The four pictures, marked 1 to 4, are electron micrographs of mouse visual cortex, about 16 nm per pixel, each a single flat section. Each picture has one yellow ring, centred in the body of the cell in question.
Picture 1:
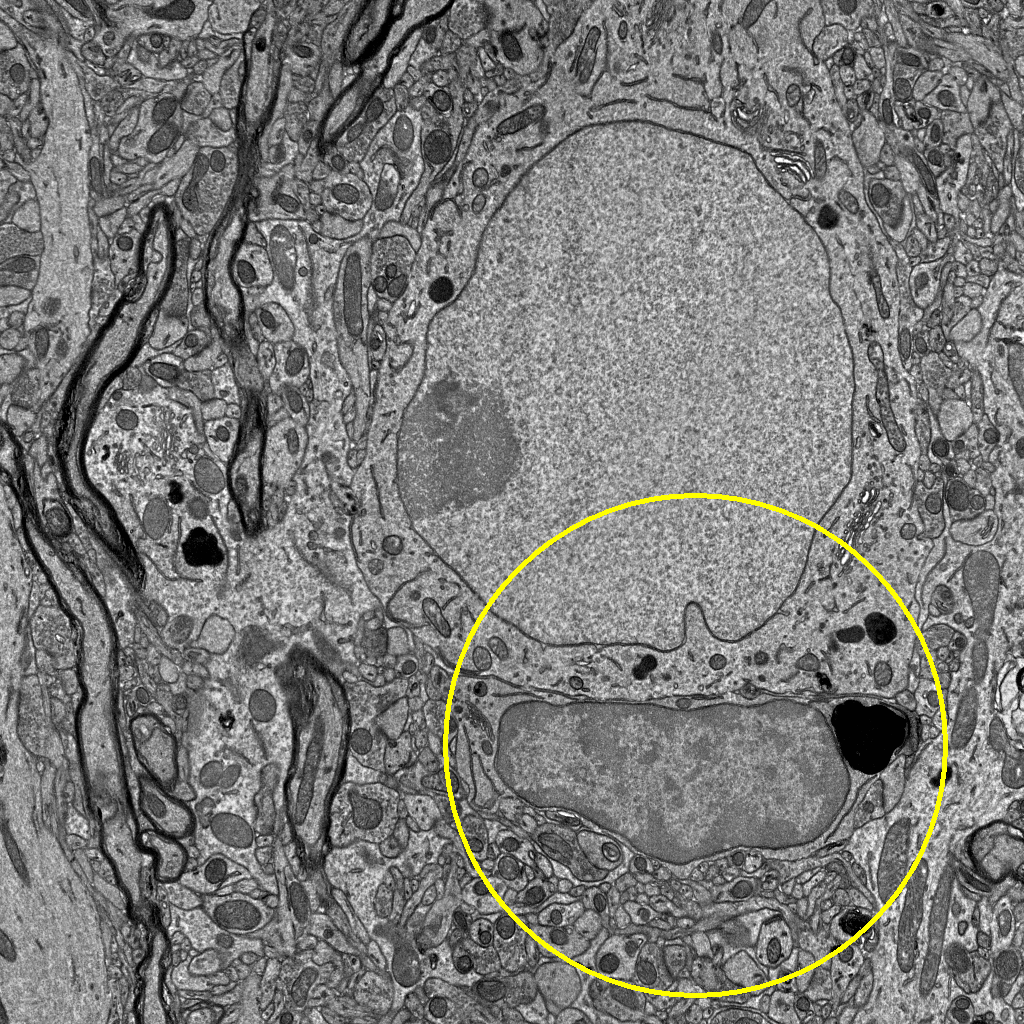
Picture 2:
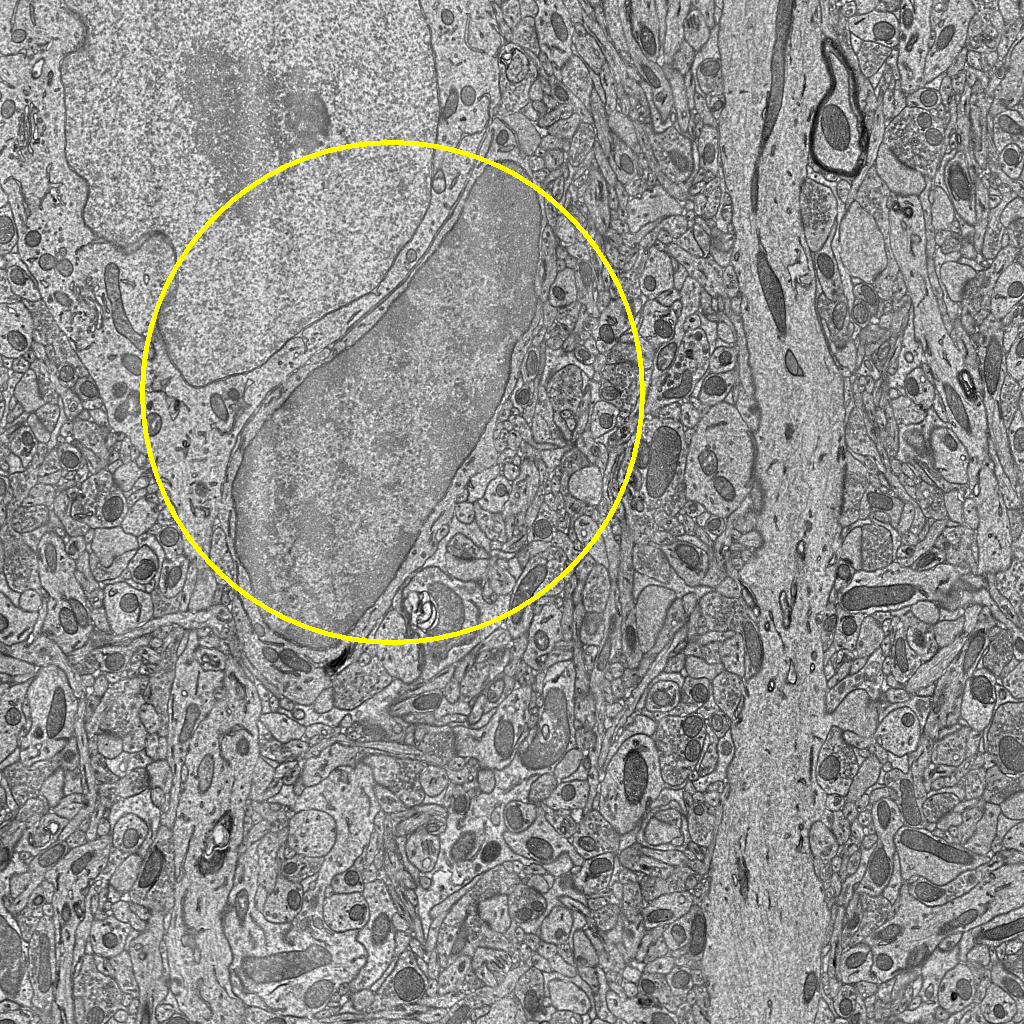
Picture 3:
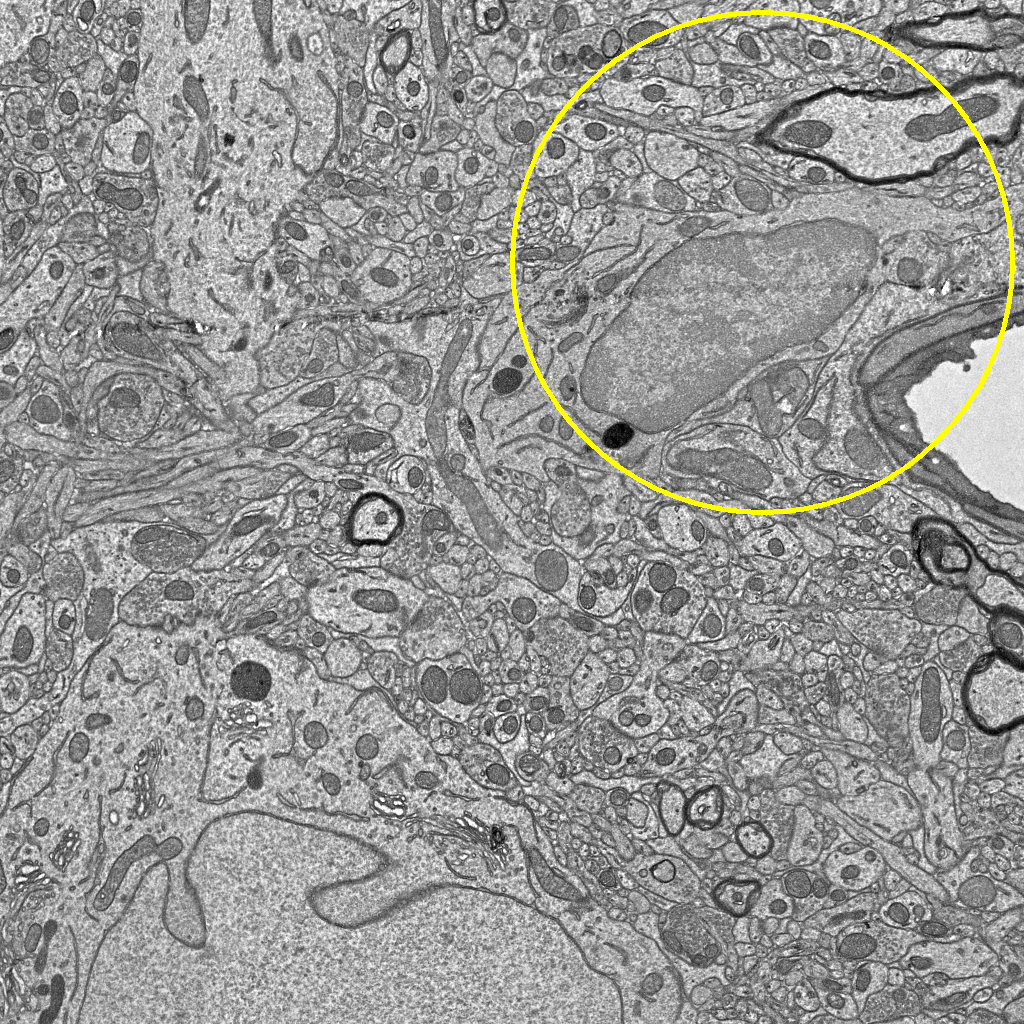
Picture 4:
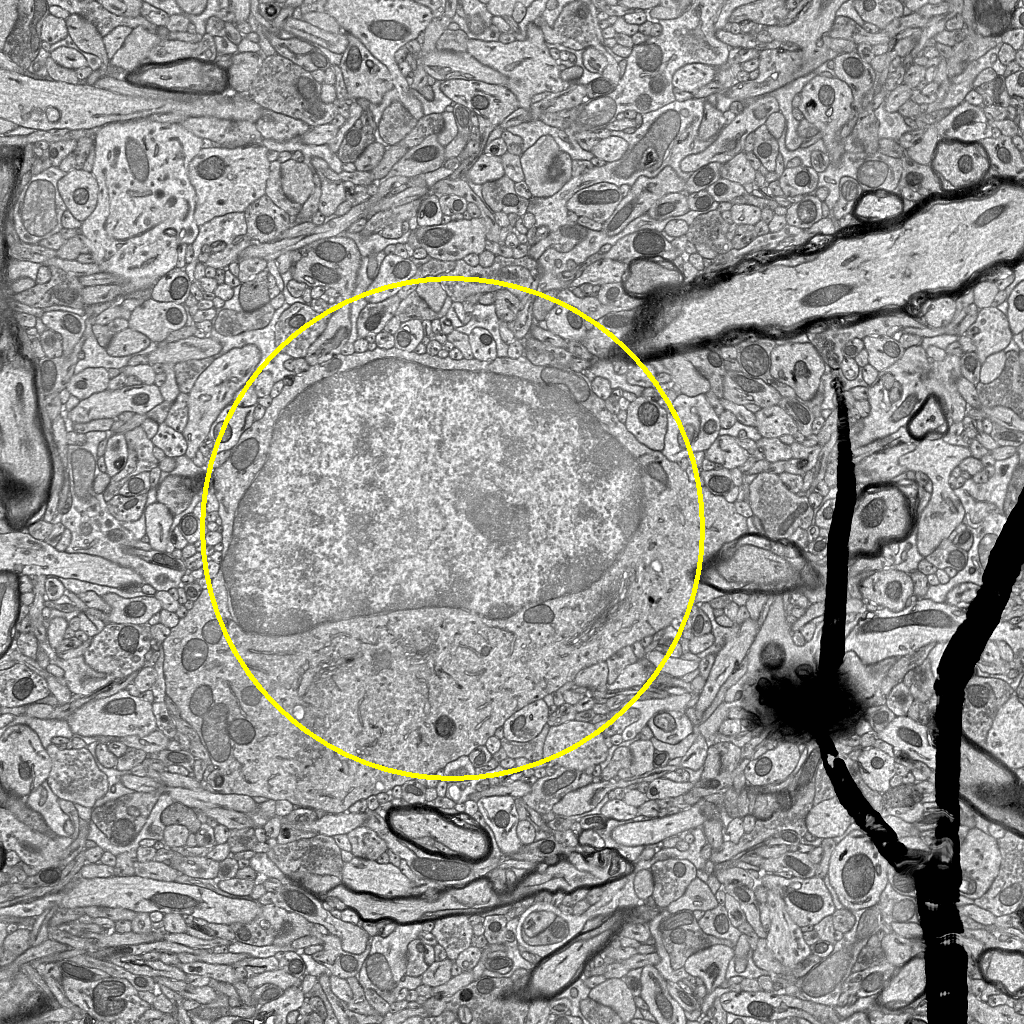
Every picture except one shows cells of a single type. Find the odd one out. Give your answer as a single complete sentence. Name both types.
All pictures except 4 show microglial cells; picture 4 shows an oligodendrocyte.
